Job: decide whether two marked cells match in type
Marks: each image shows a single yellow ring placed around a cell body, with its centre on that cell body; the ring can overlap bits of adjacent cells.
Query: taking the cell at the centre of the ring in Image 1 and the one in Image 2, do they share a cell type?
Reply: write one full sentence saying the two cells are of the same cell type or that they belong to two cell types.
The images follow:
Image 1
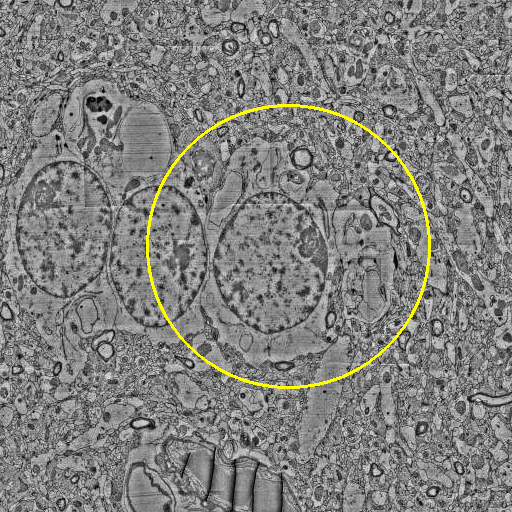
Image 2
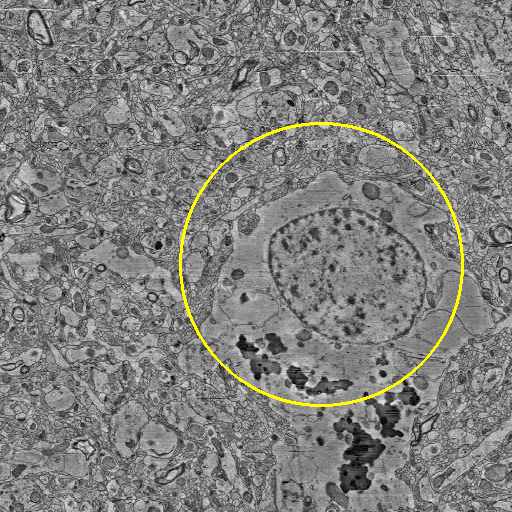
The cells at the ring centres in Image 1 and Image 2 are of the same cell type.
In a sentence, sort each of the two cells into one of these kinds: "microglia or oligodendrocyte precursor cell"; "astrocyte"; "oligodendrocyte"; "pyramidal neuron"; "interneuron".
The first and the second cell are each an astrocyte.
